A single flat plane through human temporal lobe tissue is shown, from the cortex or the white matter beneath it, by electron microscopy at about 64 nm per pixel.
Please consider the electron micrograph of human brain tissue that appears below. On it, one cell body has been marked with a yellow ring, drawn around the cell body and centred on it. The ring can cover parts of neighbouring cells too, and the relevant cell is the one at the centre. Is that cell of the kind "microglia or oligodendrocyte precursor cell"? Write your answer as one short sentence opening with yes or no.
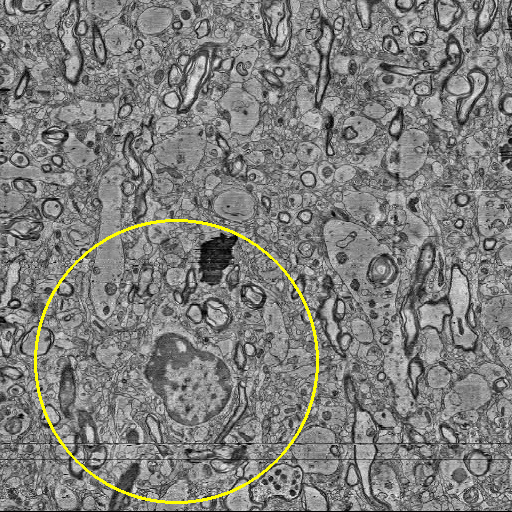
Yes, it is of that kind.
